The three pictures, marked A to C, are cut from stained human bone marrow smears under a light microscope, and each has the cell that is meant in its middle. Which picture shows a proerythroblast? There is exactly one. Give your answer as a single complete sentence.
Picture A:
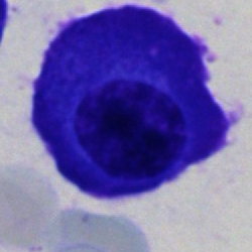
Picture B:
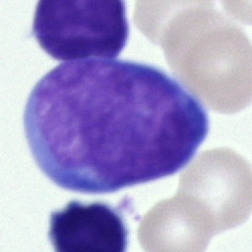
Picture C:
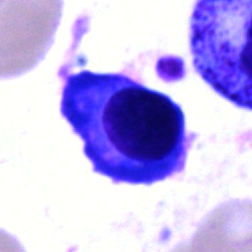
It is picture B that shows the proerythroblast.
